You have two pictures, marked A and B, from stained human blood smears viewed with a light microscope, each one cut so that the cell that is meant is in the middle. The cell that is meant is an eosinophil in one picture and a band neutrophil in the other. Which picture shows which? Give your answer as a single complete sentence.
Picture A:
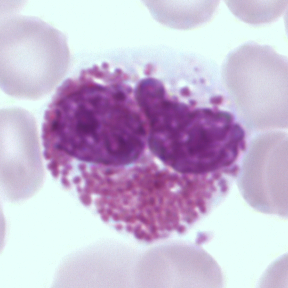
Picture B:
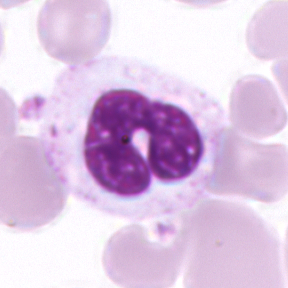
The cell in picture A is an eosinophil, and the one in picture B is a band neutrophil.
